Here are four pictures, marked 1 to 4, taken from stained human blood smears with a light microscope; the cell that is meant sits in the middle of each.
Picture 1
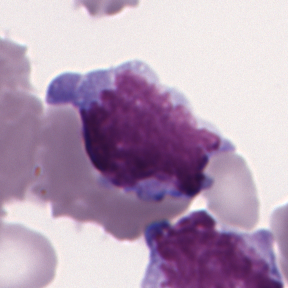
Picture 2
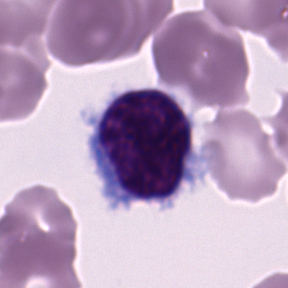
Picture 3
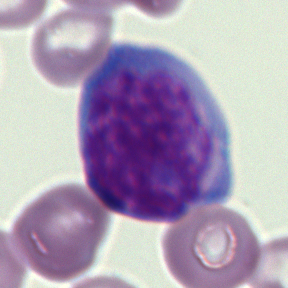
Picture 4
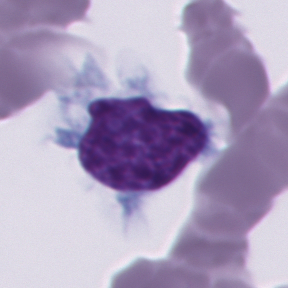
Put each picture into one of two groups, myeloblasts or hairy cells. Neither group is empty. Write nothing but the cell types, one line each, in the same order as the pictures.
myeloblast
hairy cell
myeloblast
hairy cell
